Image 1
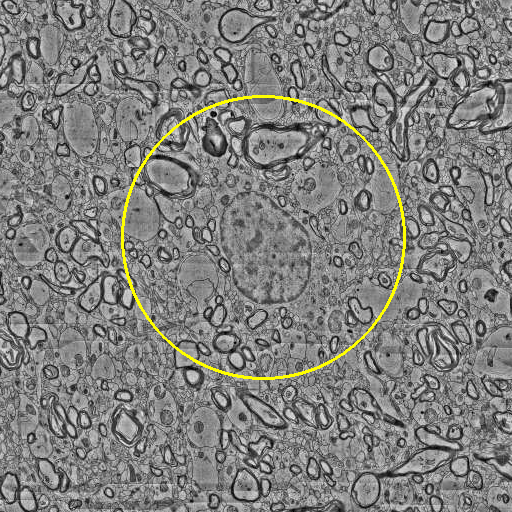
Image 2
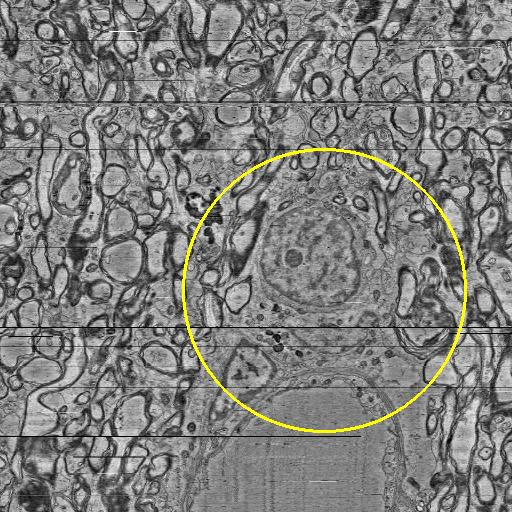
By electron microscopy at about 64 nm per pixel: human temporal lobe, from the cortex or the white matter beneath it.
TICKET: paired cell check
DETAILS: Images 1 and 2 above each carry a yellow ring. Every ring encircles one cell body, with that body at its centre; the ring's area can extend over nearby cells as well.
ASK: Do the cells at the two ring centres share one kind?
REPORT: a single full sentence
Yes, the ring-centre cells of Images 1 and 2 belong to a single kind.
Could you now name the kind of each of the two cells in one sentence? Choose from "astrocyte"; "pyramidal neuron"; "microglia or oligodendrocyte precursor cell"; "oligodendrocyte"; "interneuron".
Each of the ringed cells, first and second, is an oligodendrocyte.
